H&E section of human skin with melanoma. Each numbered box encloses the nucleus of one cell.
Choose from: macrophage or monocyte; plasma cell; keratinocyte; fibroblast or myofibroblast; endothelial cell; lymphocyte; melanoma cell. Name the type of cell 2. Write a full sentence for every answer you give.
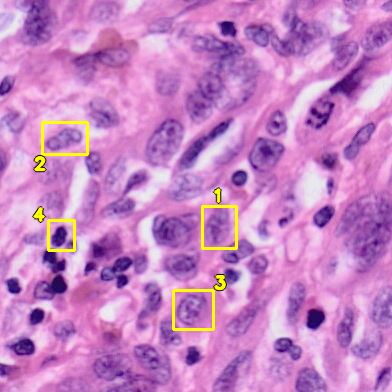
In this section, the cell numbered 2 is a macrophage or monocyte.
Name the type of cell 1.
The nucleus with number 1 is that of a melanoma cell.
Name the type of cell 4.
Cell 4 in the field is a lymphocyte.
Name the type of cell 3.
The cell referred to as 3 is a melanoma cell.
